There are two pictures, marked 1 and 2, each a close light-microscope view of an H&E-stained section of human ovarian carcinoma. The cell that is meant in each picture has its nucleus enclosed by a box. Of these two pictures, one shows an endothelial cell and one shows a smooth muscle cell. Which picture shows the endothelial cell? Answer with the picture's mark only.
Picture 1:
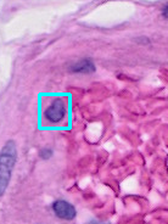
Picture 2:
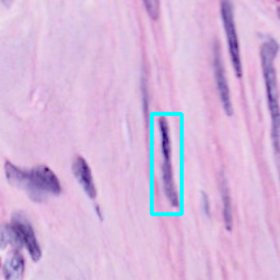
1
